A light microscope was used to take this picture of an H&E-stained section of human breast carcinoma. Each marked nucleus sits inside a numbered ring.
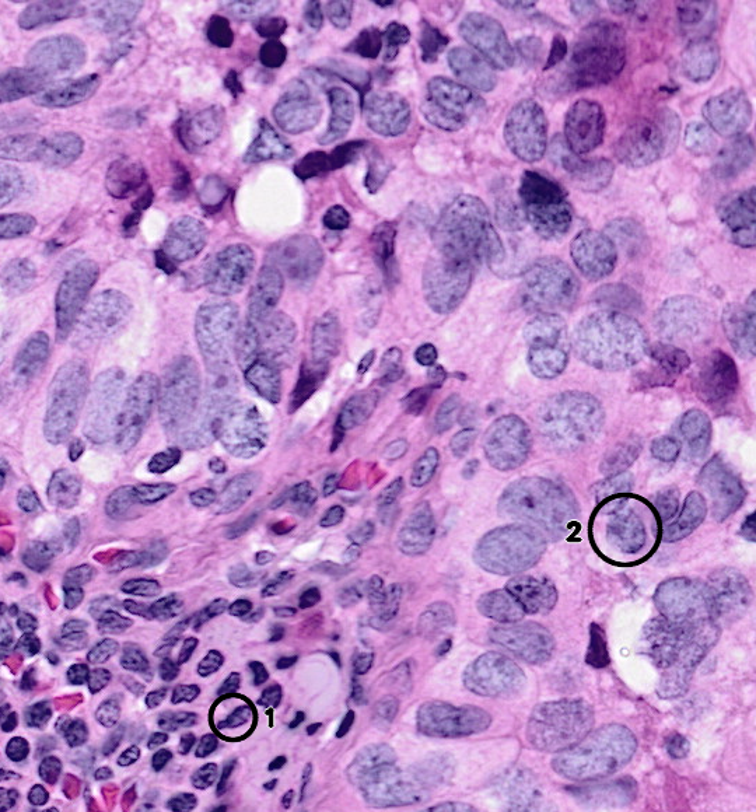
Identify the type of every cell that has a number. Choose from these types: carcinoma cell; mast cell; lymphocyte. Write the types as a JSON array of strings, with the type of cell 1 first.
["lymphocyte", "carcinoma cell"]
